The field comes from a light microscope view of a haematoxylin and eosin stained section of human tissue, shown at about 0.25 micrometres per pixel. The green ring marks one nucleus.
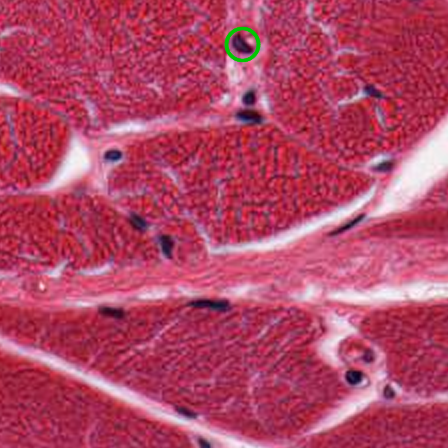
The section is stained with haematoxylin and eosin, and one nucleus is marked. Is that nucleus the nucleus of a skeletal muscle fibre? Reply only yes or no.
no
